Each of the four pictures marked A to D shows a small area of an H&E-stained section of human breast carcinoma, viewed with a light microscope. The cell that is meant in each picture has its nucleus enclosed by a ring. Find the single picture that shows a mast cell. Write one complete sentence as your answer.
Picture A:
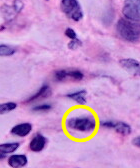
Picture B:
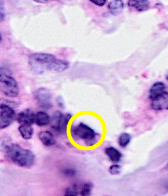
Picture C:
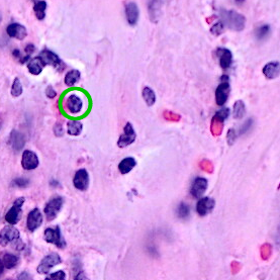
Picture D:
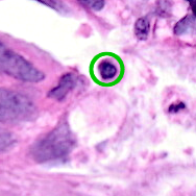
The picture with the mast cell is D.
